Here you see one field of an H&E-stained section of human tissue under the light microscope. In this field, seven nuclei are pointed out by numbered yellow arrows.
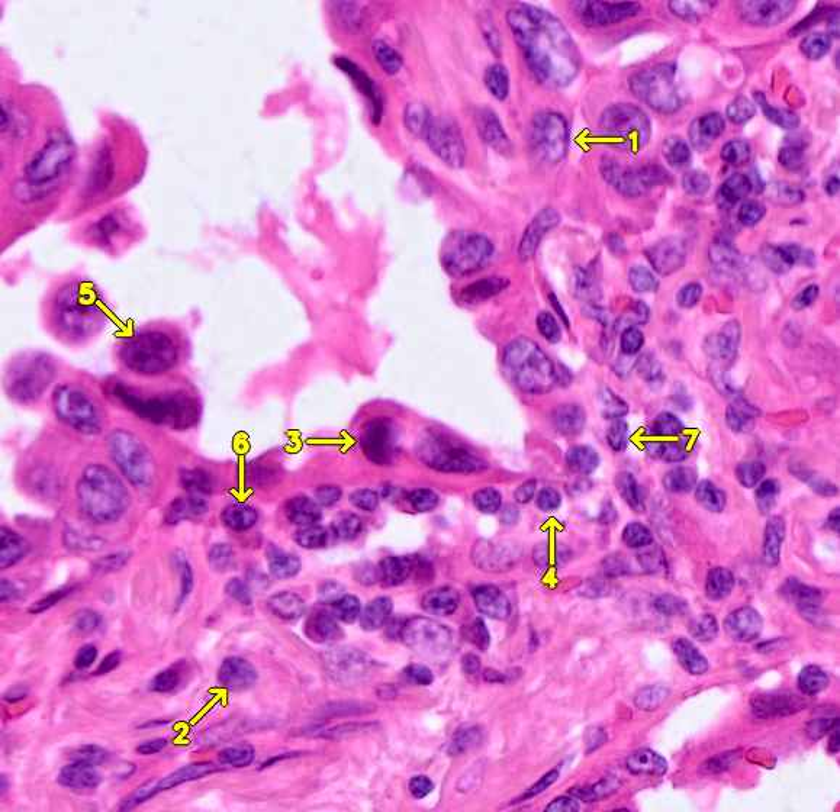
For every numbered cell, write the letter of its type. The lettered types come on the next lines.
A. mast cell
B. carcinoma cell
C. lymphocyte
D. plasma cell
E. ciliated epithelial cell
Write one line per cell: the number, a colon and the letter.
1: B
2: D
3: B
4: C
5: B
6: D
7: C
